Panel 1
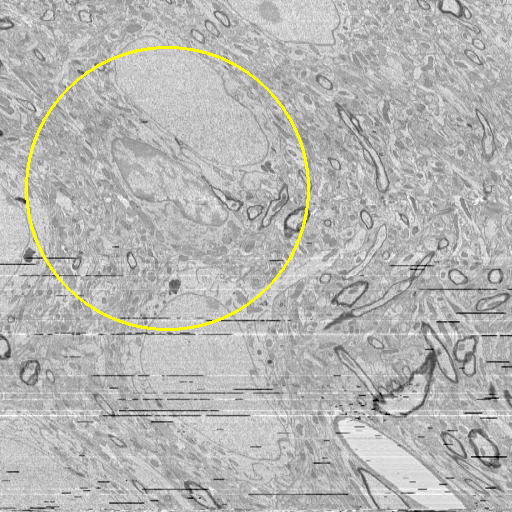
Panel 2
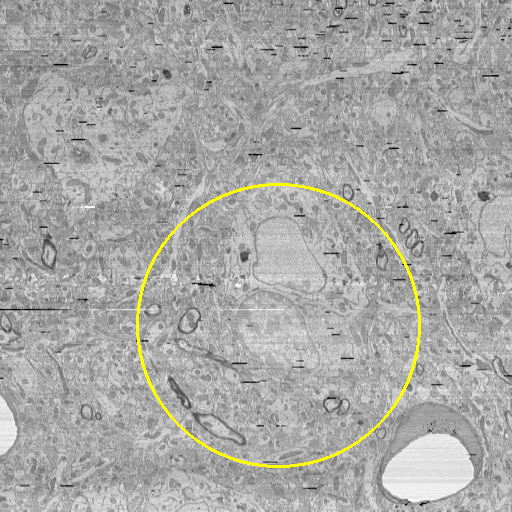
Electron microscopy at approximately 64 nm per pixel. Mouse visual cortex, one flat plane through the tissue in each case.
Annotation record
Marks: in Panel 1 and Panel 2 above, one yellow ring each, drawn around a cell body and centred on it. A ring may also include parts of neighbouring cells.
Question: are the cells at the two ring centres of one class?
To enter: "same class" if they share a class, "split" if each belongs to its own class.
same class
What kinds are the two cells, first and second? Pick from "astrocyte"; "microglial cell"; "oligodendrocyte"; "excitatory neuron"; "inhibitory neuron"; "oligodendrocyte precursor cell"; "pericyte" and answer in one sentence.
The ring centre holds an oligodendrocyte in each of the two pictures.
